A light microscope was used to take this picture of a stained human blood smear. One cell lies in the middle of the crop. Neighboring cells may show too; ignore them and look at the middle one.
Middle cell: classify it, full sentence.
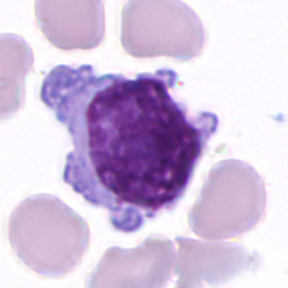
At the center of the crop sits a plasma cell.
